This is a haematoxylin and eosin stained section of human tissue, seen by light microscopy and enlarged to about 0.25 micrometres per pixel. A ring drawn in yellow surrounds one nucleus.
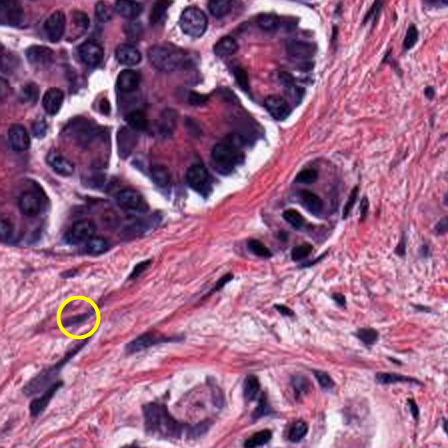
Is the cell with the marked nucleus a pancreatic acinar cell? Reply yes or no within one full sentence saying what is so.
No, the marked nucleus sits in a supporting cell; a pancreatic acinar cell does not contain it.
